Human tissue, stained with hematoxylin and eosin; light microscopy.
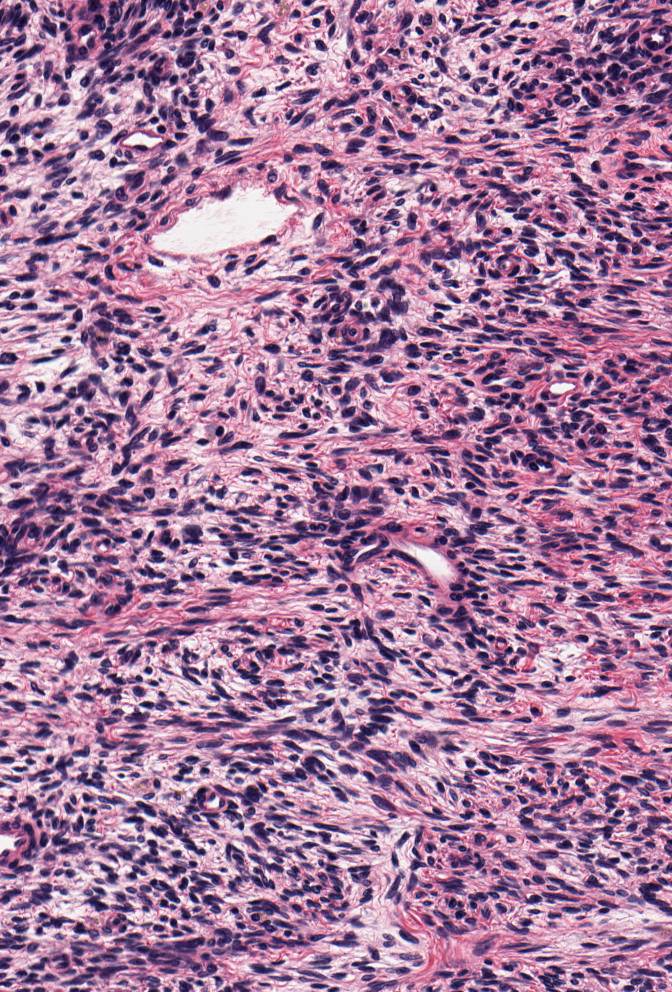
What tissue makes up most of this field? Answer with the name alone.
ovarian cortex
